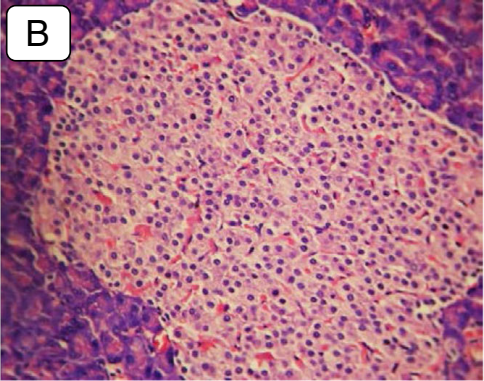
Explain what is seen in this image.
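This is pancreas with a large endocrine islet filling most of the field, bordered by darker purple acinar tissue at the edges. The islet cells are small, closely packed and arranged in cords, with round dark nuclei and pale pink cytoplasm, and thin red-stained capillaries run between the cords. The islet is very large and crowded with cells.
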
